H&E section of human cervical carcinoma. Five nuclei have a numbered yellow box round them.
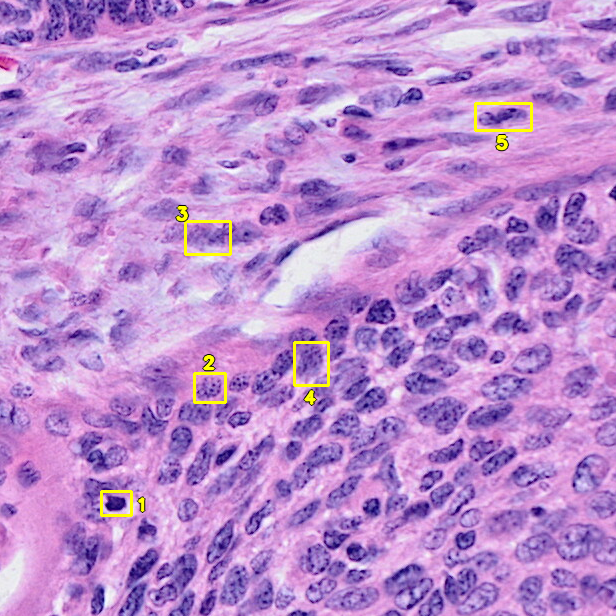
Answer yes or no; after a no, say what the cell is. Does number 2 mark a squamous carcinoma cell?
Yes.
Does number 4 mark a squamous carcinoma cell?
Yes.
